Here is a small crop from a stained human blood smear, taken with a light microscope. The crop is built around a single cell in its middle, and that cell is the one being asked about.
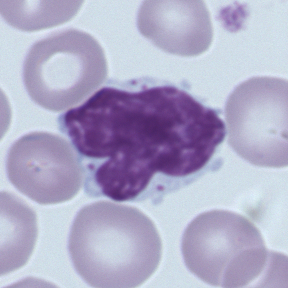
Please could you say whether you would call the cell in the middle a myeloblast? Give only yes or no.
no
